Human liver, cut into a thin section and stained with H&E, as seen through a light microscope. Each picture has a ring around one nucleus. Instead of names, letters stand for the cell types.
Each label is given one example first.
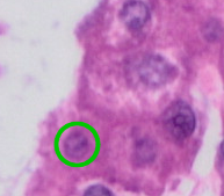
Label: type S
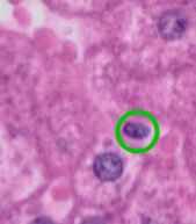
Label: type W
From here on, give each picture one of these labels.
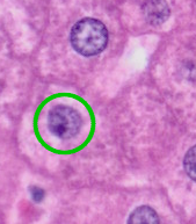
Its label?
type S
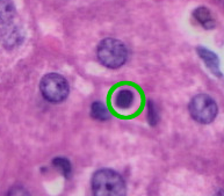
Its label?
type W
